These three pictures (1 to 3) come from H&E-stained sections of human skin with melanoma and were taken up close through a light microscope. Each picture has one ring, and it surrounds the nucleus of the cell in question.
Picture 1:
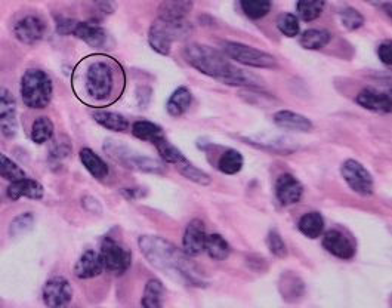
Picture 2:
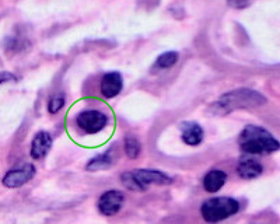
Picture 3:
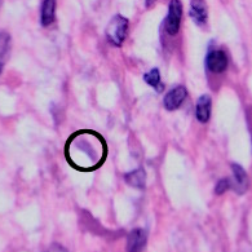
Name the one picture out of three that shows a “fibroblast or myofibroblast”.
3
